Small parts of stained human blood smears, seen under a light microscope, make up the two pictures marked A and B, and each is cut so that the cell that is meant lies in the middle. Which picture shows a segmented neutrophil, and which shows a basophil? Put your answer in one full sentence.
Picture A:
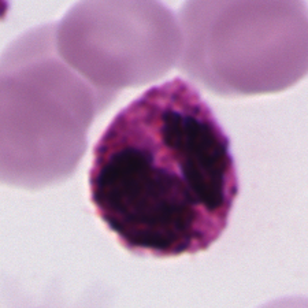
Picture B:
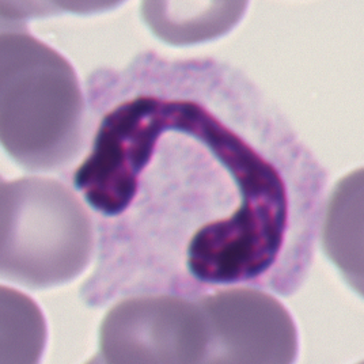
The cell in picture A is a basophil, and the one in picture B is a segmented neutrophil.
